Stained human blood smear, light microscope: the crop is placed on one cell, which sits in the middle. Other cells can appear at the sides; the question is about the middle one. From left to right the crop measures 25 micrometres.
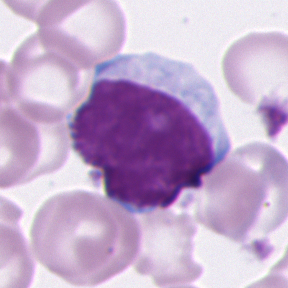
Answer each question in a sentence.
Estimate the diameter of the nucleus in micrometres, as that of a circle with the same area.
Taken as a circle, the nucleus has a diameter of about 11 micrometres.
